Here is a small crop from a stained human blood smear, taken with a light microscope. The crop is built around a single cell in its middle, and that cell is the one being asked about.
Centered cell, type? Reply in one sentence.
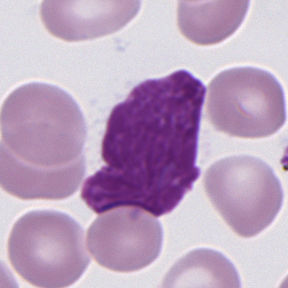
In the middle of this smear crop is a smudge cell.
